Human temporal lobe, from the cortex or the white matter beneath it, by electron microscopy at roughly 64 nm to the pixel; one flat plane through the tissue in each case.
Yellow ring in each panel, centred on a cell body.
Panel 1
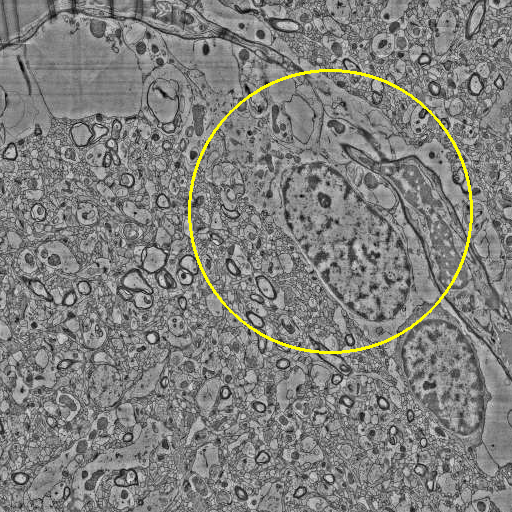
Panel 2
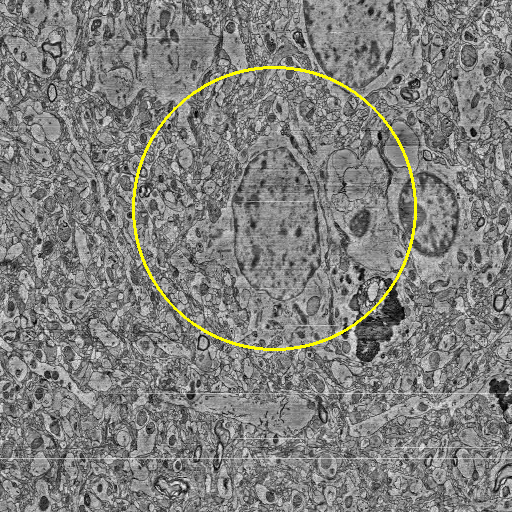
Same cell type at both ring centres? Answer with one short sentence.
No, the two cells are of two types.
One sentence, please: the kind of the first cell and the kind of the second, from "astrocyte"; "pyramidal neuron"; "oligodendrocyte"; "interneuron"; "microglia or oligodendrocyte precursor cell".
The ring in the first picture surrounds a microglial cell or oligodendrocyte precursor cell, and the ring in the second surrounds an astrocyte.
